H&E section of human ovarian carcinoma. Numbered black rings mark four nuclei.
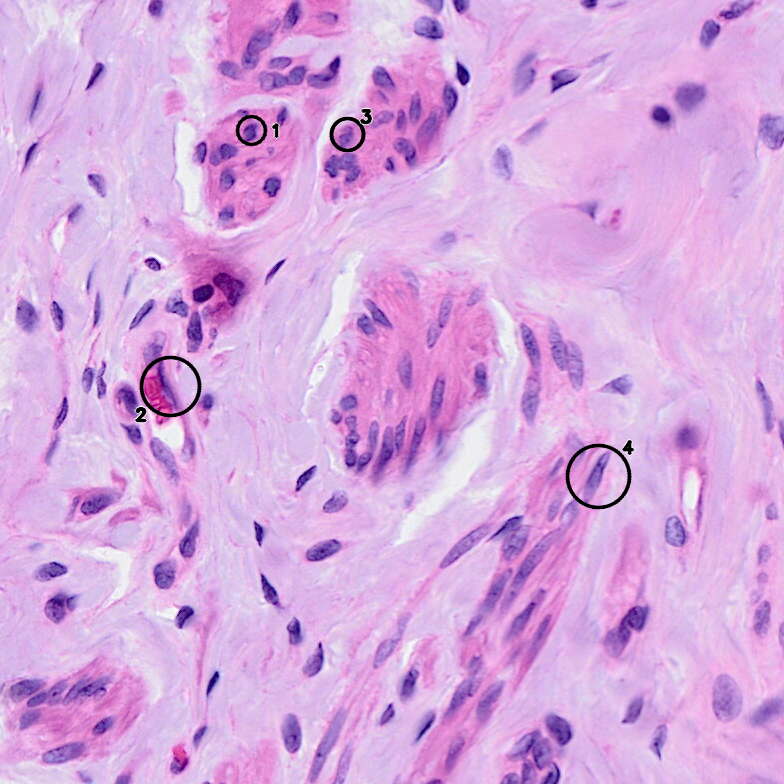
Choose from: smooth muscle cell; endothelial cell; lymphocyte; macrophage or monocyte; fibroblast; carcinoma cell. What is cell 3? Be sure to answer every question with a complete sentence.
Regarding cell 3, this one is a smooth muscle cell.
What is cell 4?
The nucleus labelled 4 belongs to a smooth muscle cell.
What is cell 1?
The cell referenced by the number 1 is a smooth muscle cell in this field.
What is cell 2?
The numbered cell 2 in this field is an endothelial cell.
